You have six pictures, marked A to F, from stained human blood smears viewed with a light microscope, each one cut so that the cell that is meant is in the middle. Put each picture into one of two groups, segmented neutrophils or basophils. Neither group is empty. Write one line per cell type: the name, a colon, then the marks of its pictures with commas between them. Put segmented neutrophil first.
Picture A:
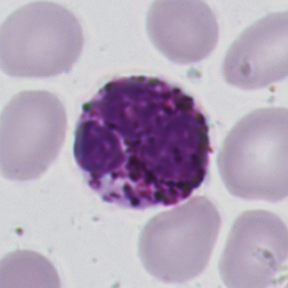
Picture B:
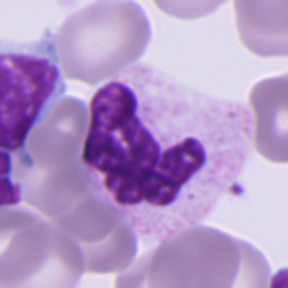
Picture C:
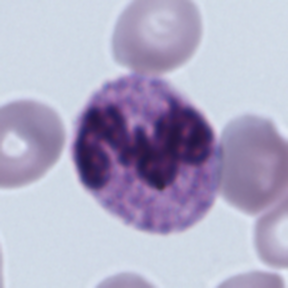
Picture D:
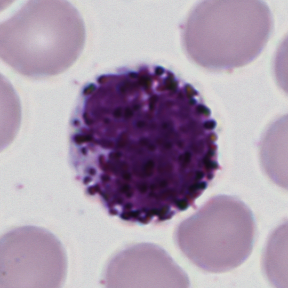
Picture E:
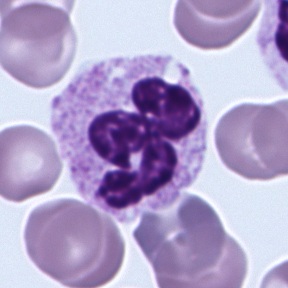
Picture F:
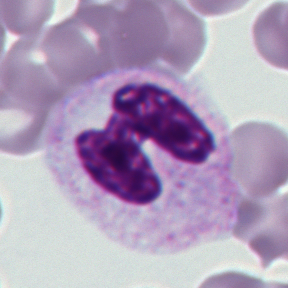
segmented neutrophil: B, C, E, F
basophil: A, D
